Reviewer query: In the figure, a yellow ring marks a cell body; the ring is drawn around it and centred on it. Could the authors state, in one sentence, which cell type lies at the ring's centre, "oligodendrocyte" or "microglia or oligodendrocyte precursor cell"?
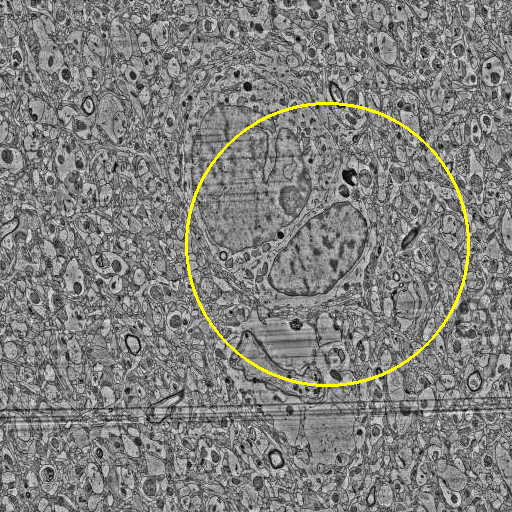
The ring is centred on a microglial cell or oligodendrocyte precursor cell.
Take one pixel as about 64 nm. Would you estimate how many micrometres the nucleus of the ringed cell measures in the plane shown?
Roughly 7 by 4 micrometers, clearly longer than it is wide in this plane.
